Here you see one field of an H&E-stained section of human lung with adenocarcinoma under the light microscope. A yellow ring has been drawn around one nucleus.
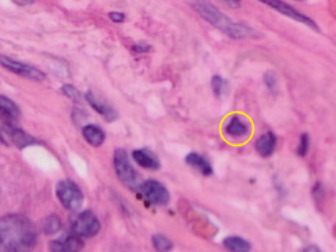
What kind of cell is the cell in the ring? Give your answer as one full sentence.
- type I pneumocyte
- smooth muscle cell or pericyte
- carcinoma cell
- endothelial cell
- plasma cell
The classification of the cell in the ring is as a smooth muscle cell or pericyte.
